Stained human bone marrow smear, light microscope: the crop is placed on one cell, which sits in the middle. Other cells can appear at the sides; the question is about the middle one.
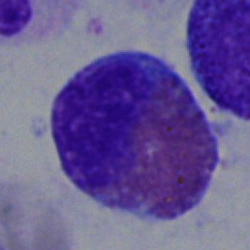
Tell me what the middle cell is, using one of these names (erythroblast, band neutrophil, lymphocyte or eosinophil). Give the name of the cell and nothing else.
eosinophil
